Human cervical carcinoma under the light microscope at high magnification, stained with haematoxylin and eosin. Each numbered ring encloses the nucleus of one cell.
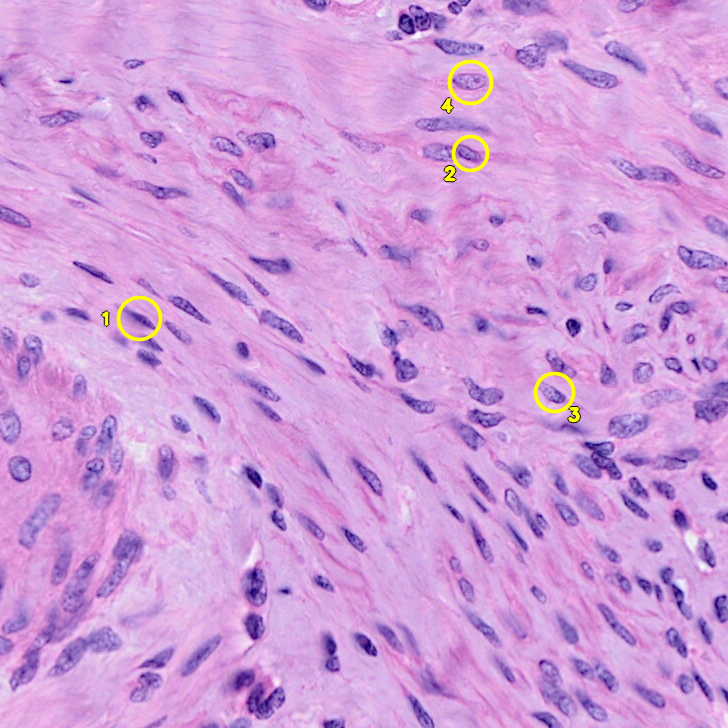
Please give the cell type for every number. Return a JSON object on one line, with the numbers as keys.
{"1": "fibroblast", "2": "smooth muscle cell", "3": "smooth muscle cell", "4": "smooth muscle cell"}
